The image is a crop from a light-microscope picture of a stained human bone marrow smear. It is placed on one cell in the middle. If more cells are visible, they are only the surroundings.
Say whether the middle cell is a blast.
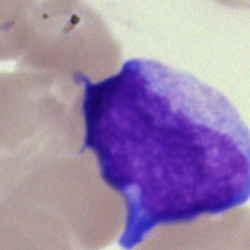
yes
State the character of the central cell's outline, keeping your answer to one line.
The cytoplasmic margin is uneven, whether through ragged segments or through projections.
